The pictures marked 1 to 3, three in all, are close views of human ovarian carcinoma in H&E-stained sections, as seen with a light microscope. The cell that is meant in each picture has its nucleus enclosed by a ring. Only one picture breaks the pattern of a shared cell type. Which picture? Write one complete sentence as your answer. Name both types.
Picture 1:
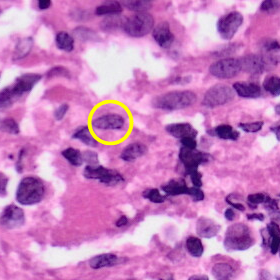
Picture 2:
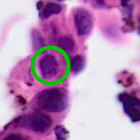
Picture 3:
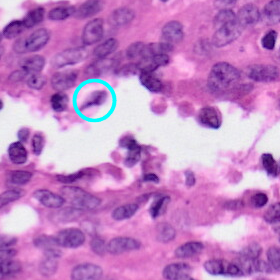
The others show “macrophages or monocytes”, but picture 2 shows a carcinoma cell.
